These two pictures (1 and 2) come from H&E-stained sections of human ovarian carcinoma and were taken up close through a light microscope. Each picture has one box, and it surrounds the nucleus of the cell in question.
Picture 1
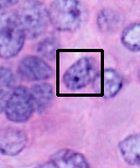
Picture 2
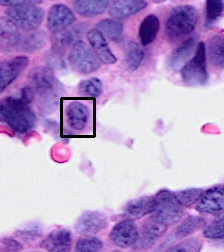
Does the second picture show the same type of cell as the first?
yes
